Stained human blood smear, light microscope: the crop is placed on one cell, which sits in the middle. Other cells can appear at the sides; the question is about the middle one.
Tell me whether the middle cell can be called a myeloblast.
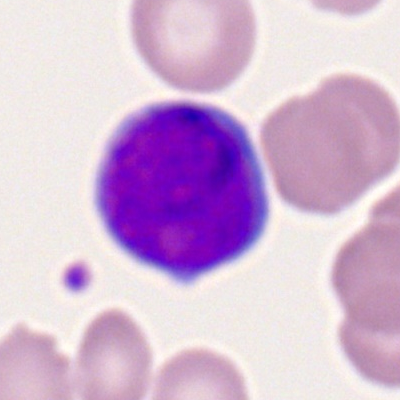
yes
